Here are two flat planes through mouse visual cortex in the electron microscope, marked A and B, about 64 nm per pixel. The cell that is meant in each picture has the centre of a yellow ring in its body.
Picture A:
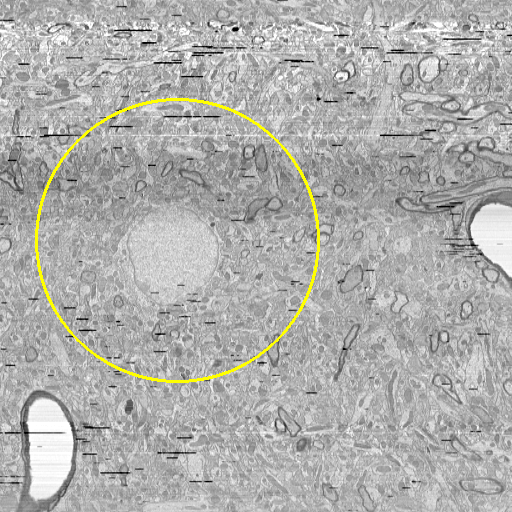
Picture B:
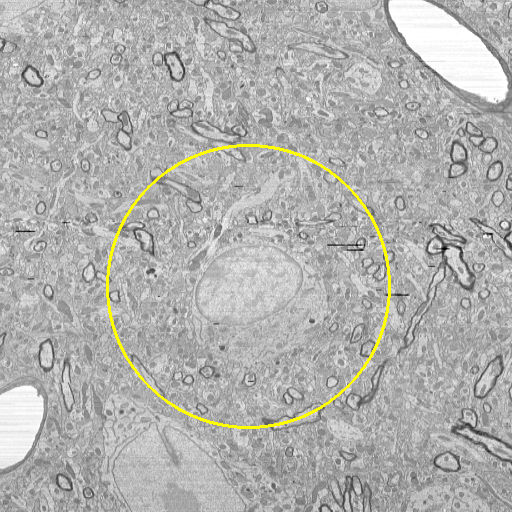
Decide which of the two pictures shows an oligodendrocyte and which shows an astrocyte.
In picture A the cell is an astrocyte; in picture B, an oligodendrocyte.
